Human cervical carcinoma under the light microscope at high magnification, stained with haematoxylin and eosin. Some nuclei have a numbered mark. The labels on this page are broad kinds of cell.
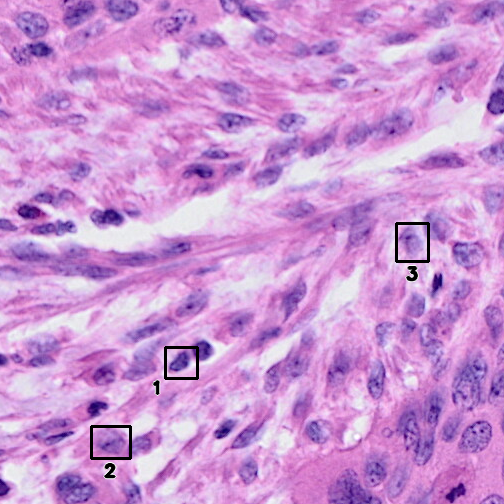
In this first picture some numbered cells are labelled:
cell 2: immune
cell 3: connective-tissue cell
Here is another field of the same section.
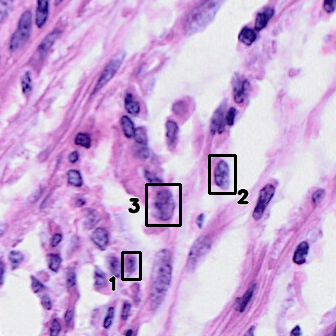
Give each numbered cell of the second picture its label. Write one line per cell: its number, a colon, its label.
1: connective-tissue cell
2: immune
3: immune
